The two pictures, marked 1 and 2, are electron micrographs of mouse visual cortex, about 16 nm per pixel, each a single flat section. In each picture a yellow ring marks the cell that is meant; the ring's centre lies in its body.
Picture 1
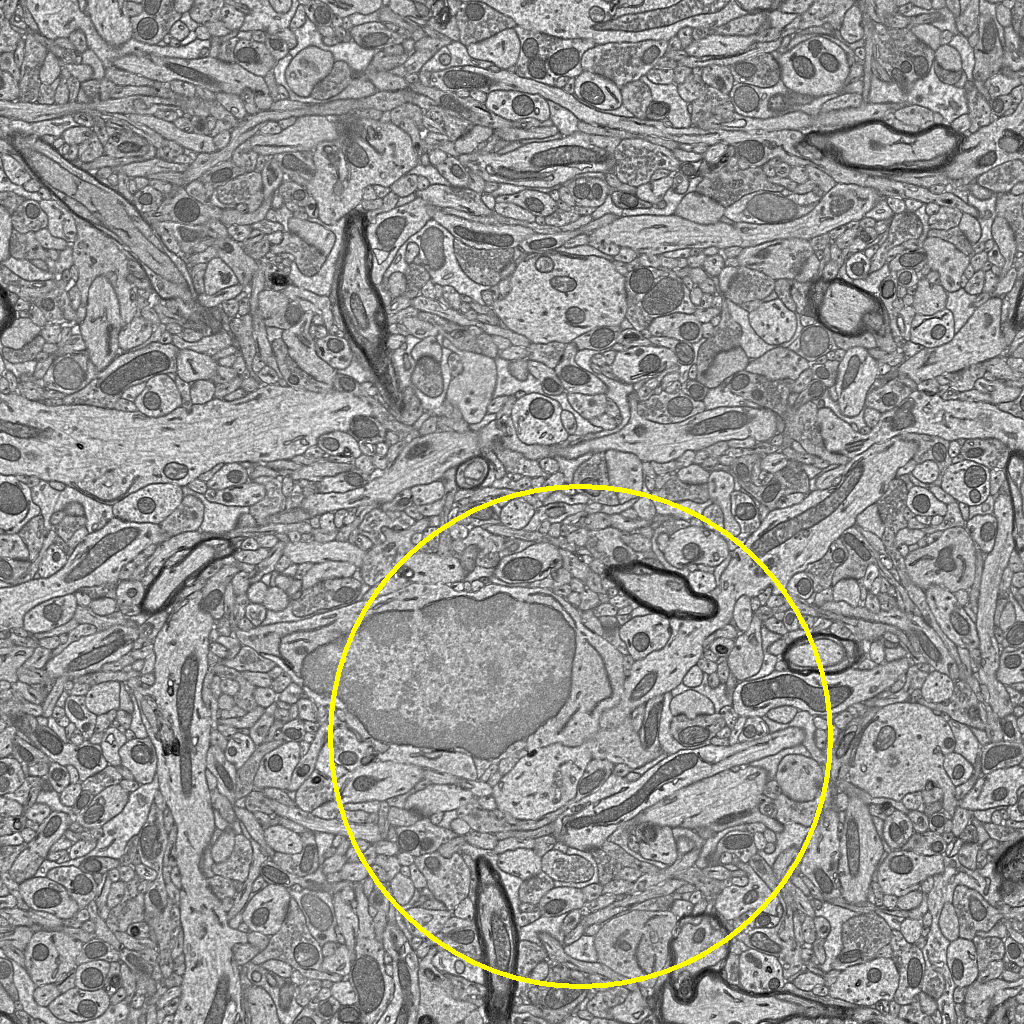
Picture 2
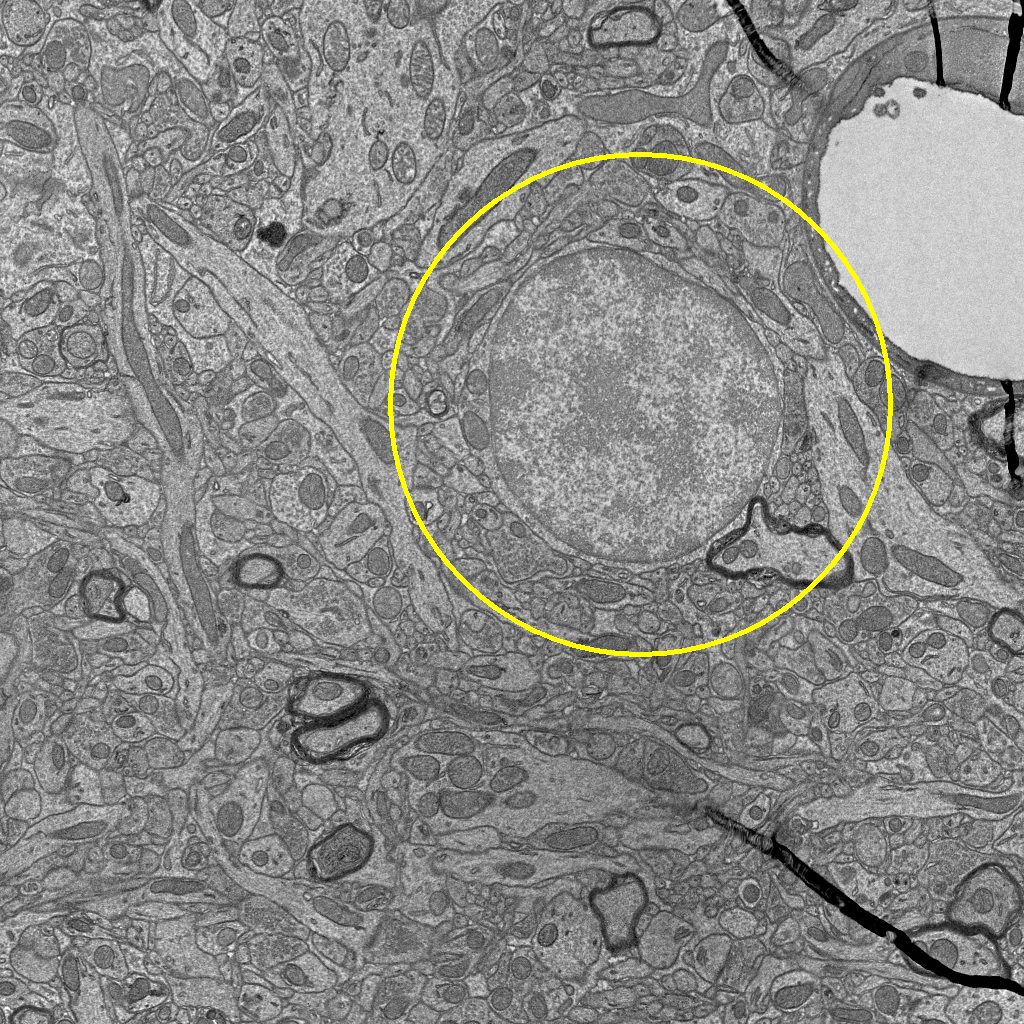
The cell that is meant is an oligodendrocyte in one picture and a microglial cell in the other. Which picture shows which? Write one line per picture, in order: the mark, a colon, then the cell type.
1: microglial cell
2: oligodendrocyte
